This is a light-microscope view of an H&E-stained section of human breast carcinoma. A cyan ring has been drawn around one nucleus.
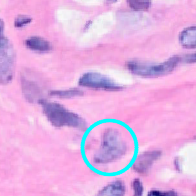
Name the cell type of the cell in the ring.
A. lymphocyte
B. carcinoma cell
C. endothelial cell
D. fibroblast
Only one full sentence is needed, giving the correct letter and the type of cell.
Option C describes the cell in the ring accurately as an endothelial cell.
